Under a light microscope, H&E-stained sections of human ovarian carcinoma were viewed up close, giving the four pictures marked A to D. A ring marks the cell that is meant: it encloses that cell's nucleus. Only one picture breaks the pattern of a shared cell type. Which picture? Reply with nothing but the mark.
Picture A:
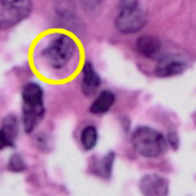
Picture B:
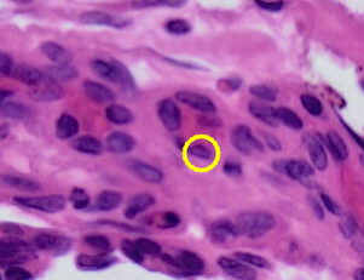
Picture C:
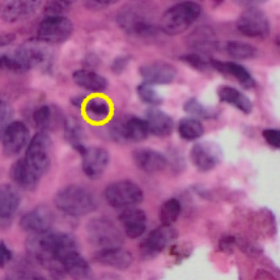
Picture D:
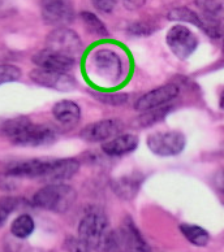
B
